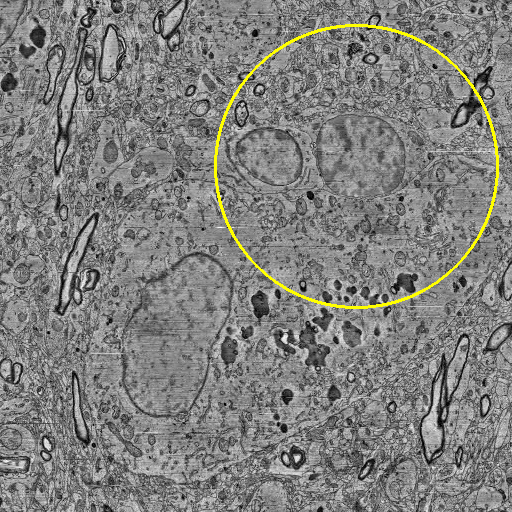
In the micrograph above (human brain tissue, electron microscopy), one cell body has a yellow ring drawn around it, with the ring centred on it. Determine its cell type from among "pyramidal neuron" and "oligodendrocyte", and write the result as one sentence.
The cell whose body is ringed is an oligodendrocyte.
